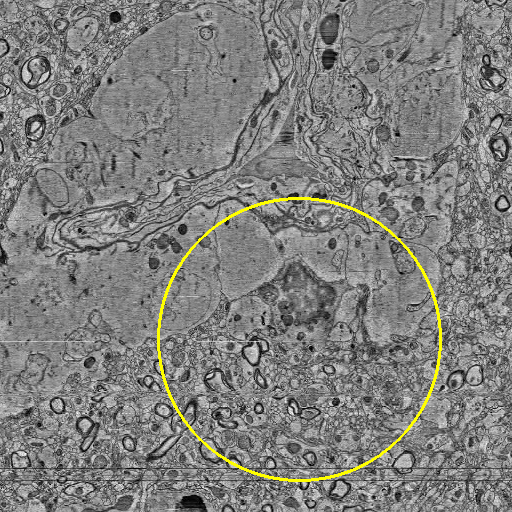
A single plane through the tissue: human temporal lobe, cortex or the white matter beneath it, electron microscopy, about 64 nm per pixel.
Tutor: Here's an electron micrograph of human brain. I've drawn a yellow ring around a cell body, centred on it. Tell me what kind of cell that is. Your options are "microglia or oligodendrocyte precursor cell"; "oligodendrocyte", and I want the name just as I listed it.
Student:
oligodendrocyte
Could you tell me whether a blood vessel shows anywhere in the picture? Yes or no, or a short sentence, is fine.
Yes, one appears.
